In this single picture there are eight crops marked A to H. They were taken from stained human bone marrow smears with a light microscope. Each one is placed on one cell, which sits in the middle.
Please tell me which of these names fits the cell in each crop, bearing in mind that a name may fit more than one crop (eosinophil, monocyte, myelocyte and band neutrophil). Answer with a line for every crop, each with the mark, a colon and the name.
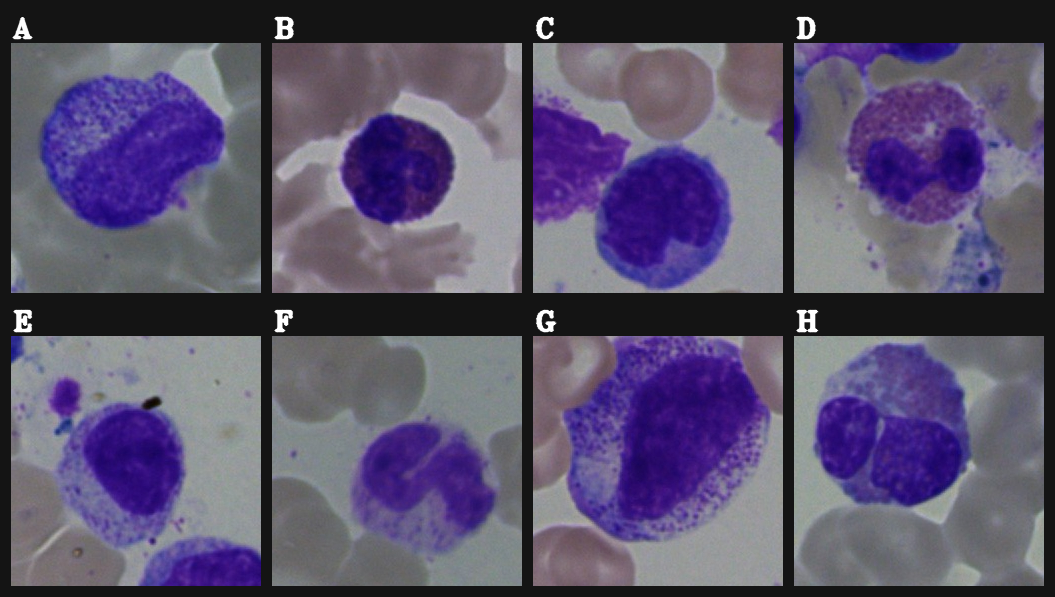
A: myelocyte
B: eosinophil
C: monocyte
D: eosinophil
E: myelocyte
F: band neutrophil
G: myelocyte
H: eosinophil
